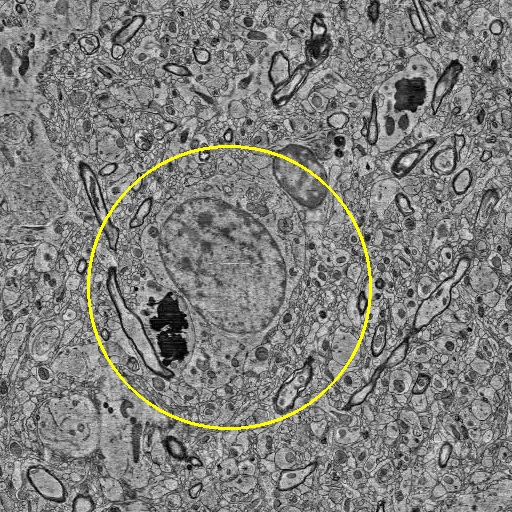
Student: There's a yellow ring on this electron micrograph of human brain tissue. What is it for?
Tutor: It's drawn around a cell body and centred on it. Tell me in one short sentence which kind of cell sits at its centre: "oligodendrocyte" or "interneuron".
The cell at the centre of the ring is an interneuron.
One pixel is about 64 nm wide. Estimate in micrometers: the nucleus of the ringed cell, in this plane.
The nucleus has a long axis of about 10 micrometres and a short axis of about 7 micrometres in this plane.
